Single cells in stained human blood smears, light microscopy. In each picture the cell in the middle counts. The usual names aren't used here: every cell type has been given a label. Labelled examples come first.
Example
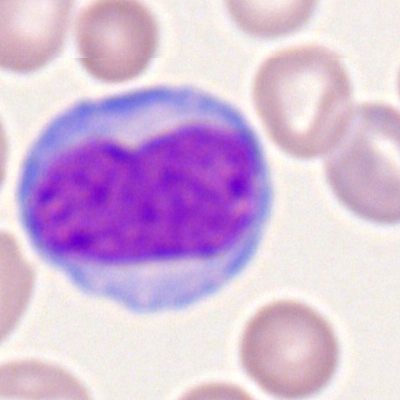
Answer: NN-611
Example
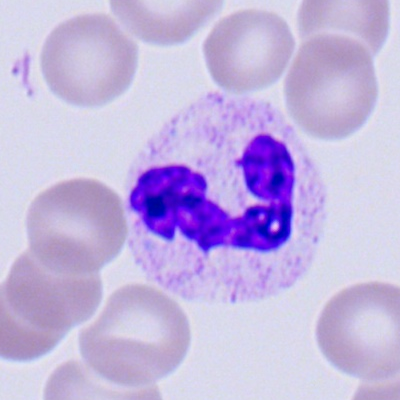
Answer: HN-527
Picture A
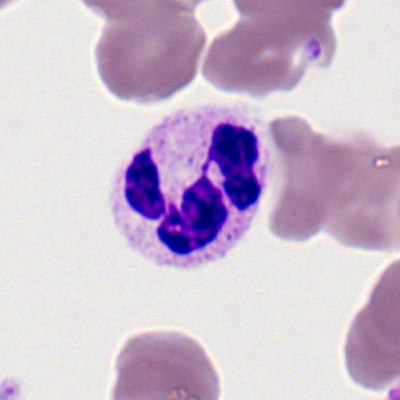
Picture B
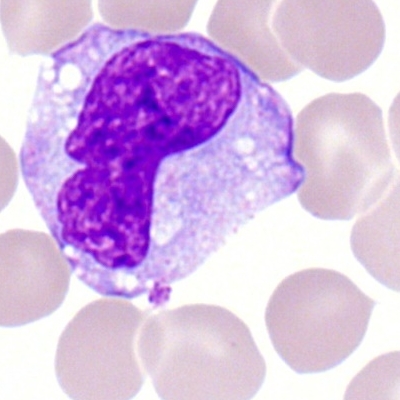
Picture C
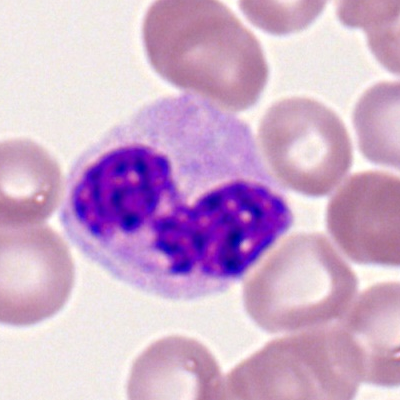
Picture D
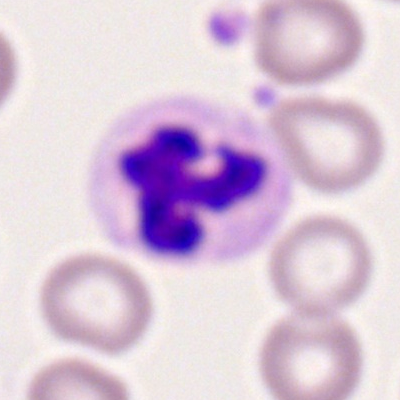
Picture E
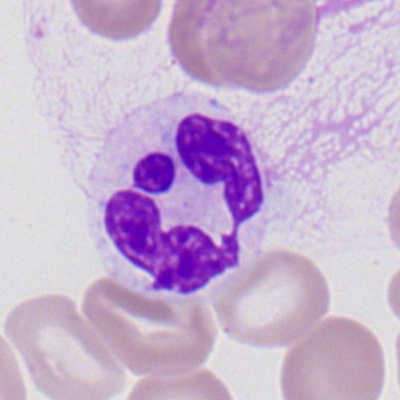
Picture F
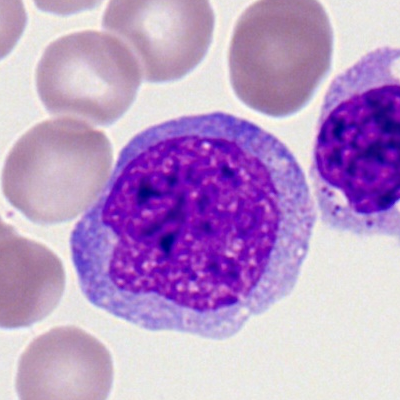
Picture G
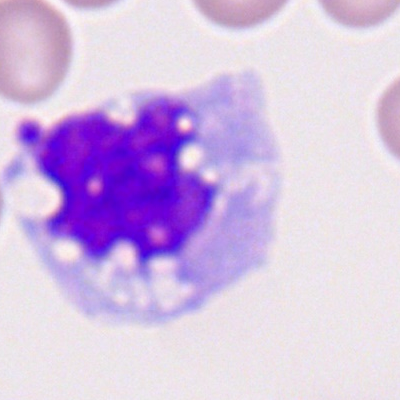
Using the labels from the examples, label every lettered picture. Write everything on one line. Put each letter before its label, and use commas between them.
A HN-527, B NN-611, C HN-527, D HN-527, E HN-527, F NN-611, G NN-611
